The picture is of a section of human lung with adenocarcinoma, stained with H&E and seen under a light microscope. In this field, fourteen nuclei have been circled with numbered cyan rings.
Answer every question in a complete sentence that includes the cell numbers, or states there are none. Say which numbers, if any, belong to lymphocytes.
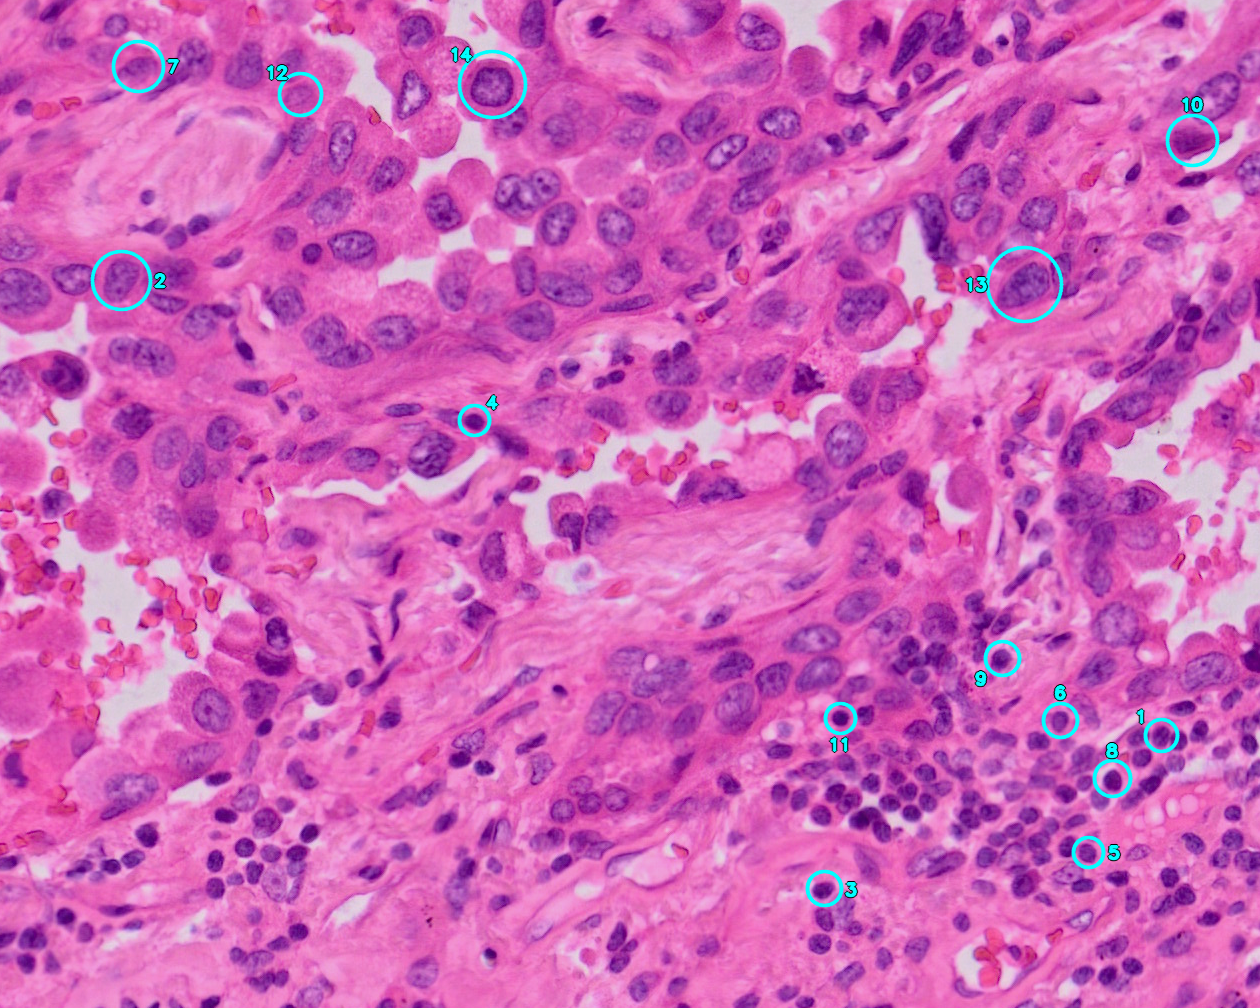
The cells numbered 1, 3, 4, 5, 6, 8, 9 and 11 are, by type, lymphocytes.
